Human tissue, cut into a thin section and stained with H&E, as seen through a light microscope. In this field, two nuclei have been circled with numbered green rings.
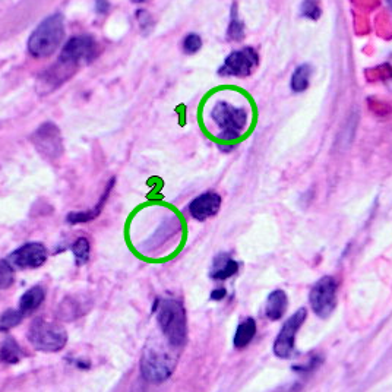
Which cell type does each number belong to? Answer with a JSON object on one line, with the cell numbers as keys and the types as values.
{"1": "lymphocyte", "2": "fibroblast"}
